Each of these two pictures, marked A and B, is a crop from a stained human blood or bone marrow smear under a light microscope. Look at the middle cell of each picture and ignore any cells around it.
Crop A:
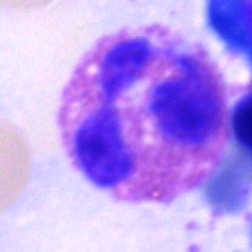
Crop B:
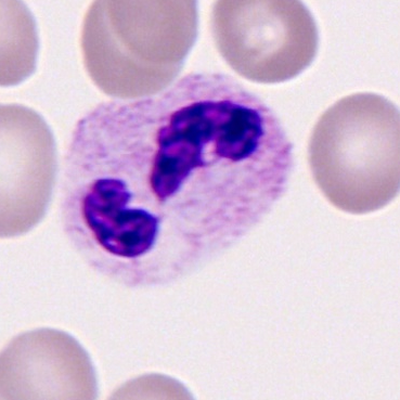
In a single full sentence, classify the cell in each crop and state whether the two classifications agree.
No, crop A shows an eosinophil, whereas in crop B the cell is a segmented neutrophil.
